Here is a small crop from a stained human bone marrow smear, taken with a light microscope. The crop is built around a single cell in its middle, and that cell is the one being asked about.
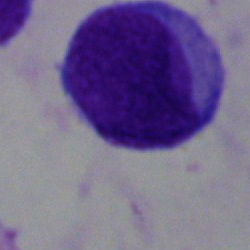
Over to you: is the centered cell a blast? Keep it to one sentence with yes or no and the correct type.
Yes, the cell in the middle of the crop is a blast.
